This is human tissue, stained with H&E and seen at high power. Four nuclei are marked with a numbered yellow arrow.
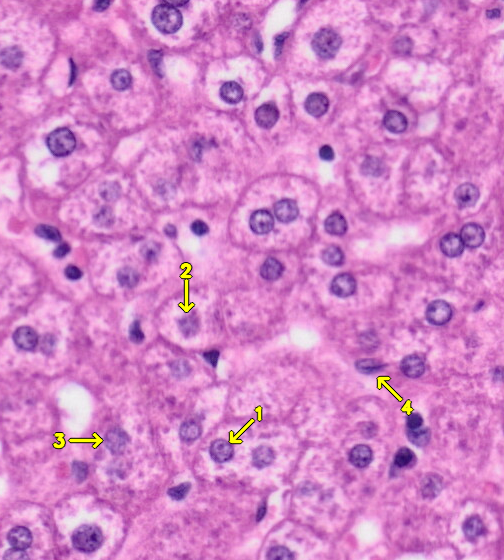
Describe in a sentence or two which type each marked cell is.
Cells 1, 2 and 3 are hepatocytes. Cell 4 is an endothelial cell.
